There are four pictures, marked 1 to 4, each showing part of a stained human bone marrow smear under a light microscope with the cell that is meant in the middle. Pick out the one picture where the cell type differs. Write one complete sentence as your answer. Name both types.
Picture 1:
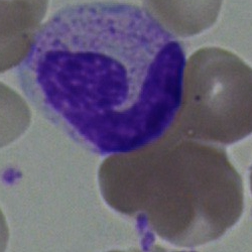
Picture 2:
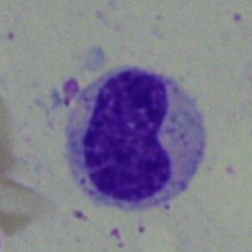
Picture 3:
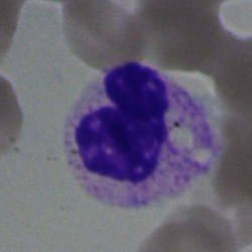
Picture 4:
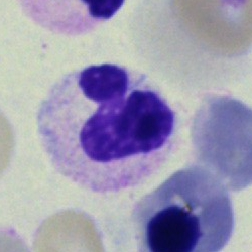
The different one is picture 2; it shows a metamyelocyte, whereas all the others show band neutrophils.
